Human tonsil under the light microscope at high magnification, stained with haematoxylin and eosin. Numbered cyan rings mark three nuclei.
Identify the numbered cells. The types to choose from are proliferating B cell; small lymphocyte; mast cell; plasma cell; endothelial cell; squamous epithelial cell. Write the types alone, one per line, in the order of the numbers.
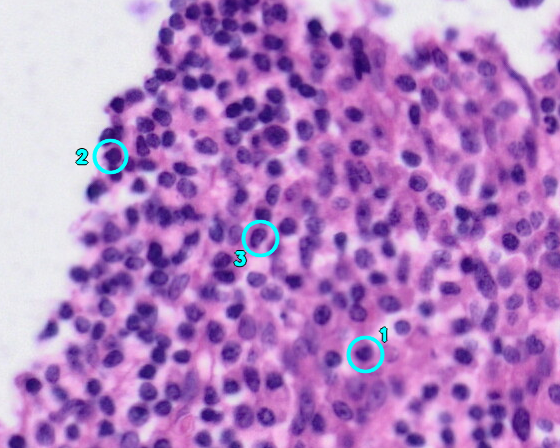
plasma cell
small lymphocyte
plasma cell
